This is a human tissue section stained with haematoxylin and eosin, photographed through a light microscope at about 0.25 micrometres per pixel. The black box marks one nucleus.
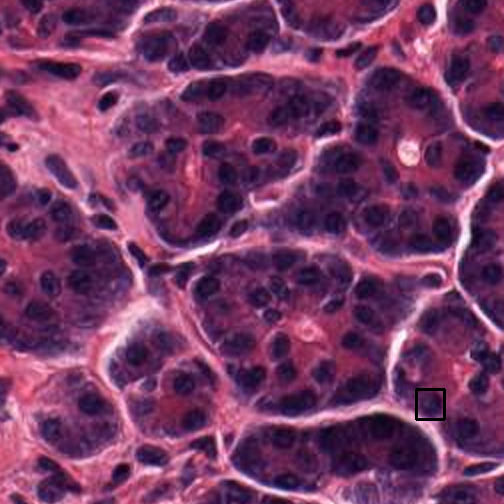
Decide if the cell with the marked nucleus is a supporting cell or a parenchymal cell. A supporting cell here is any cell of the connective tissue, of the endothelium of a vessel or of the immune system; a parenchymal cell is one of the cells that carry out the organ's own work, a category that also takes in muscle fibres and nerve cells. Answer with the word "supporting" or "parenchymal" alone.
parenchymal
